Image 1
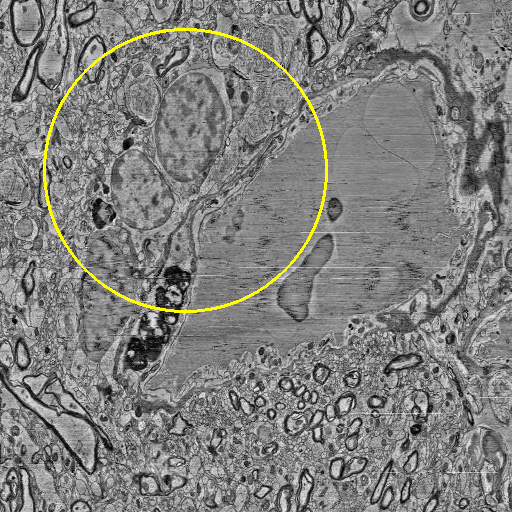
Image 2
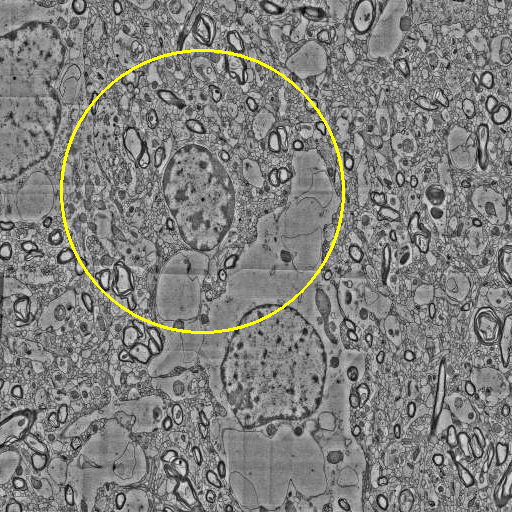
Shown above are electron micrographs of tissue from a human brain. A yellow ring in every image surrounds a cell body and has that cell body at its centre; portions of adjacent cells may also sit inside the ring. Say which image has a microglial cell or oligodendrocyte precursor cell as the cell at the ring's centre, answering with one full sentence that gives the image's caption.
The image whose ring is centred on the requested cell is Image 2.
